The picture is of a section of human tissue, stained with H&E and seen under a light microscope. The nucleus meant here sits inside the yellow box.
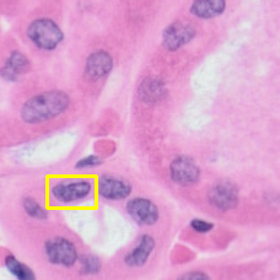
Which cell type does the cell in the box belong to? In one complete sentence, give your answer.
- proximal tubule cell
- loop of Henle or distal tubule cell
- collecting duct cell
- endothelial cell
The cell type represented by the cell in the box is that of a collecting duct cell.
